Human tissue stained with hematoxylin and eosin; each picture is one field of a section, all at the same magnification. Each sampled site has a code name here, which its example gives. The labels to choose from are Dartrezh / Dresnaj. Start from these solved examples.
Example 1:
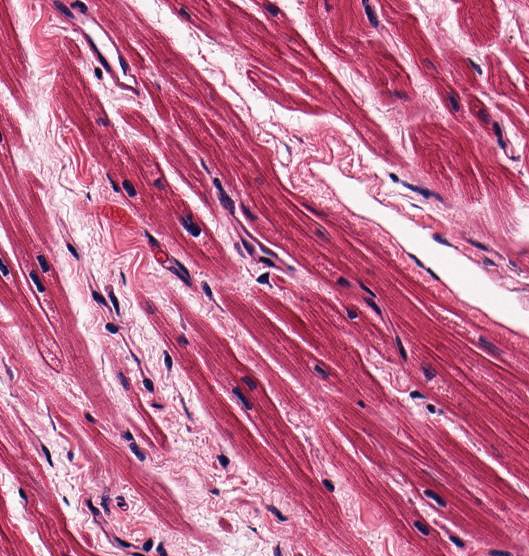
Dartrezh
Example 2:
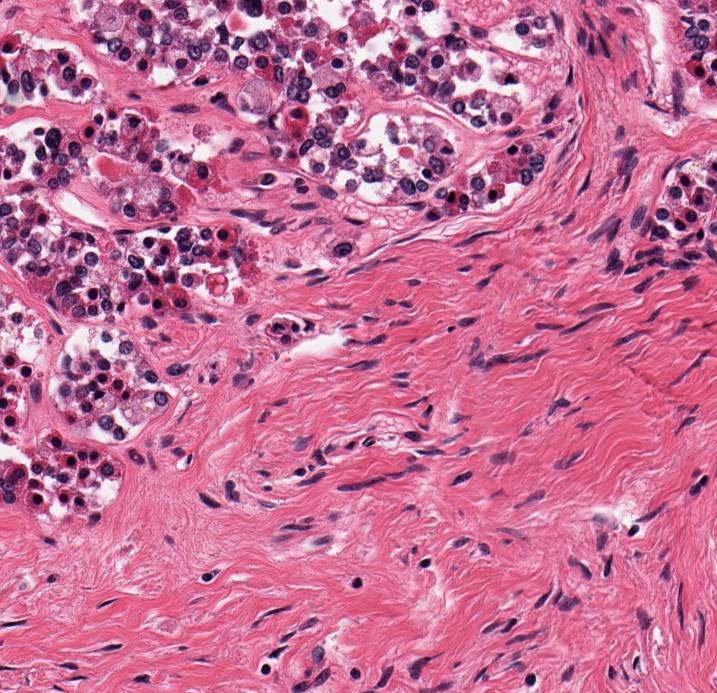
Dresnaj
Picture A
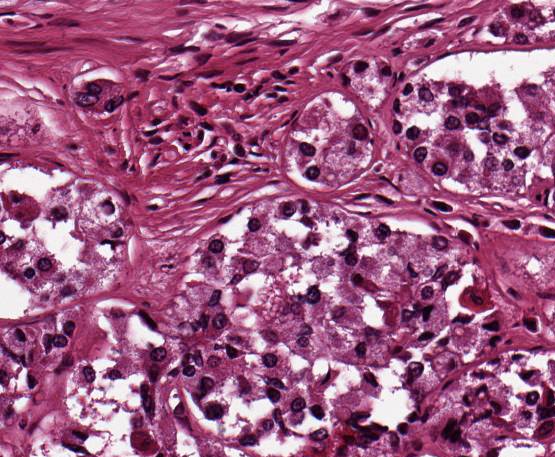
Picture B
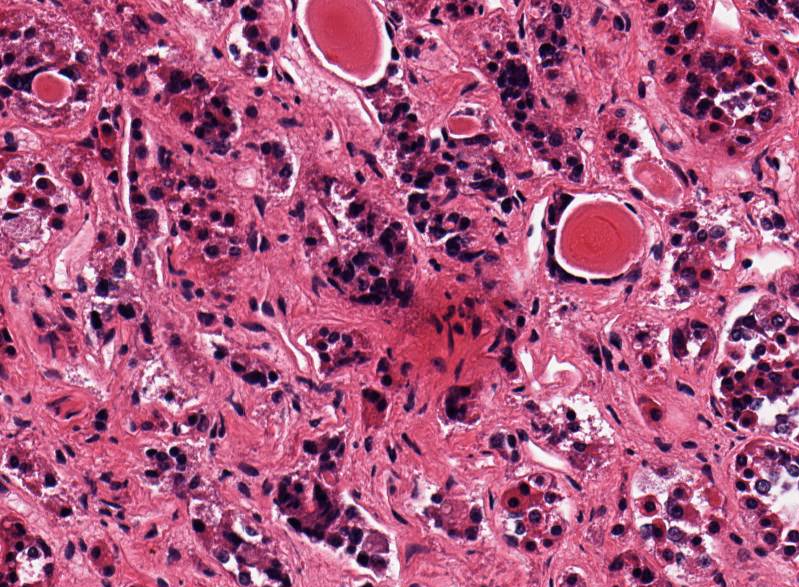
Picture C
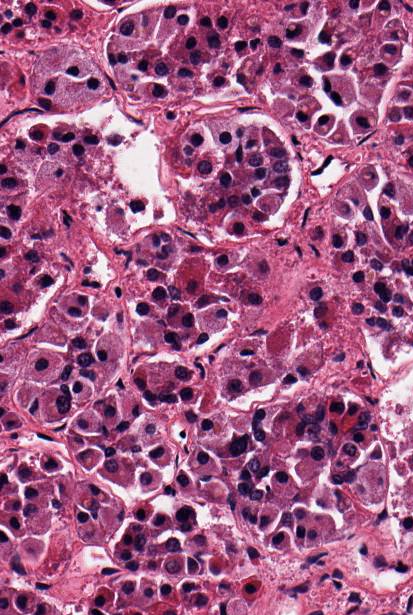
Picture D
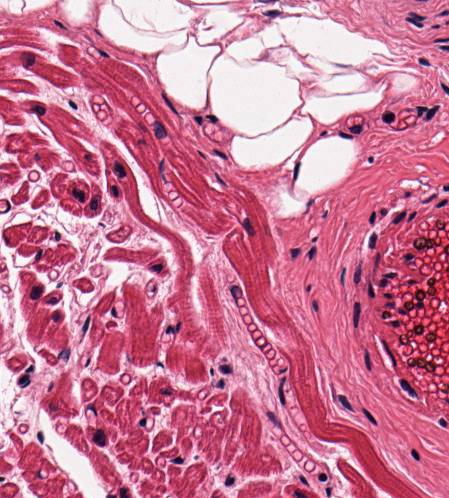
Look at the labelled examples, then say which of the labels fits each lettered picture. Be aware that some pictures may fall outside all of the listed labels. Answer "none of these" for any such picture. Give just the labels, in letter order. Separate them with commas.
Dresnaj, Dresnaj, Dresnaj, Dartrezh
